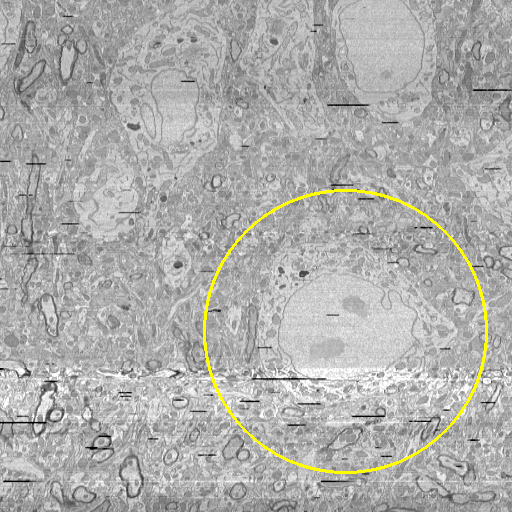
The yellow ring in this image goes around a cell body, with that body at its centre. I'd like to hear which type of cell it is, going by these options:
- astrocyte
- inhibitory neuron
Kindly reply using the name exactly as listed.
inhibitory neuron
